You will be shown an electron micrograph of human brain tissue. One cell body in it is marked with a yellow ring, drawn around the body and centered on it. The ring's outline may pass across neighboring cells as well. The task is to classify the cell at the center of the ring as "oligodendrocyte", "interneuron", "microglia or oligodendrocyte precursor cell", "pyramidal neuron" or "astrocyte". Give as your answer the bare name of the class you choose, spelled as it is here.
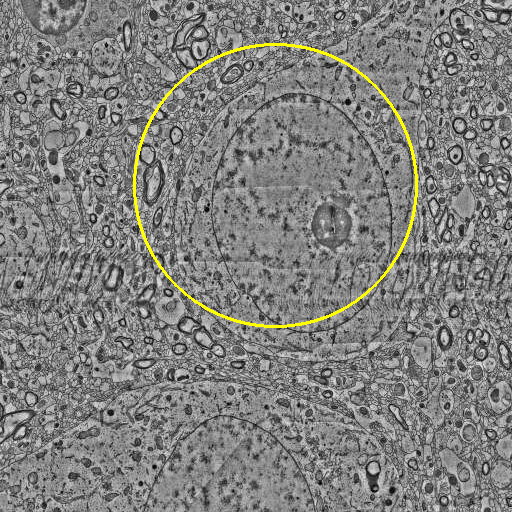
pyramidal neuron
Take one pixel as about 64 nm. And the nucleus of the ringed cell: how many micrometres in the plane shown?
The nucleus works out at approximately 15 by 12 micrometres in this plane.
